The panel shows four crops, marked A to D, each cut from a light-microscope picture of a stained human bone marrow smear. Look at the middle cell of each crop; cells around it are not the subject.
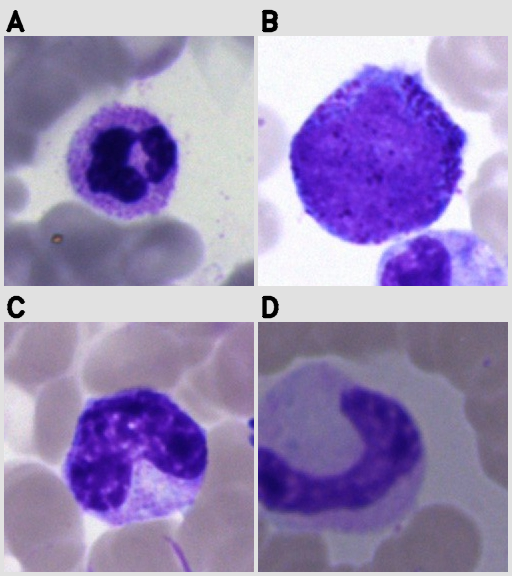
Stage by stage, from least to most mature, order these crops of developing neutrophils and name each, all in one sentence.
By increasing maturity, the order is crop B (a promyelocyte), crop C (a metamyelocyte), crop D (a band neutrophil) and crop A (a segmented neutrophil).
